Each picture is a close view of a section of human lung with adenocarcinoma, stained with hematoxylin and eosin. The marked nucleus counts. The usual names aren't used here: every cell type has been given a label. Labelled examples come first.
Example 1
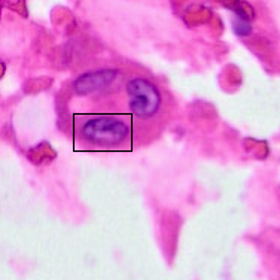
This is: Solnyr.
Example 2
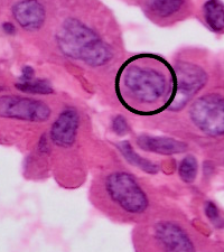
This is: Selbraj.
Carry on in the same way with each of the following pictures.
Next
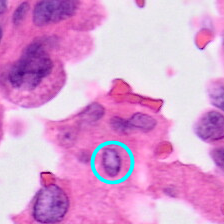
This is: Solnyr.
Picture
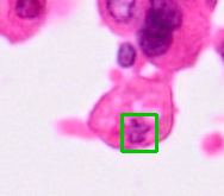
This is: Solnyr.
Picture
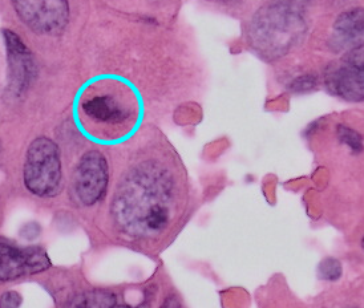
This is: Selbraj.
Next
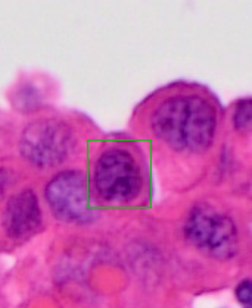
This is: Selbraj.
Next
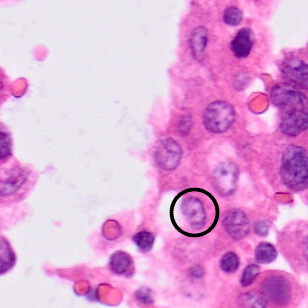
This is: Solnyr.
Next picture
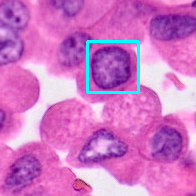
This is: Selbraj.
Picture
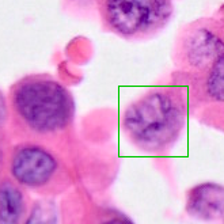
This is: Selbraj.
